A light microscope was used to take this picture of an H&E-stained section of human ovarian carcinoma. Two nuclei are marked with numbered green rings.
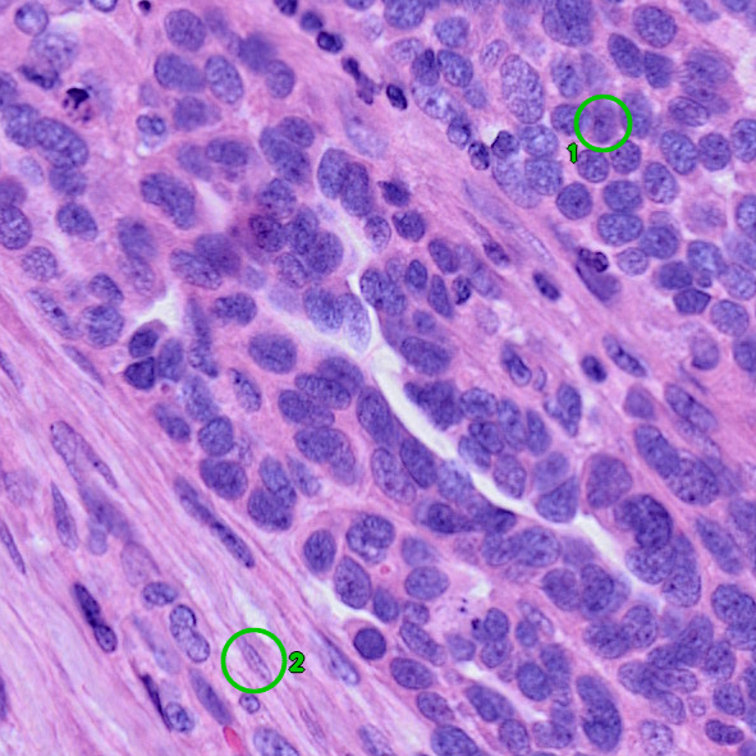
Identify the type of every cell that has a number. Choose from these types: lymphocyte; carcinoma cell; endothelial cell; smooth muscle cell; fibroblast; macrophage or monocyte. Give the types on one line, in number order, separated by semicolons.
carcinoma cell; fibroblast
